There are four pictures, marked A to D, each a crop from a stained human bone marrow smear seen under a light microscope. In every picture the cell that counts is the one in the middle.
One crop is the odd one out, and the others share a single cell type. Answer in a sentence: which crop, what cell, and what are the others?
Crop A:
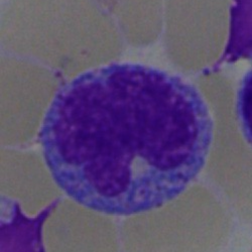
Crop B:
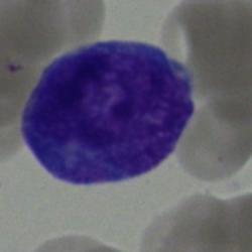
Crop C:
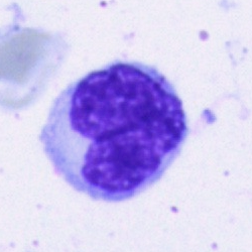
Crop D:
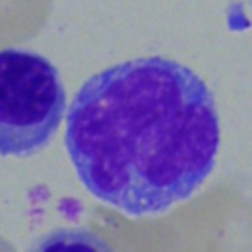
The different crop is B; it is a blast, and the others all show monocytes.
